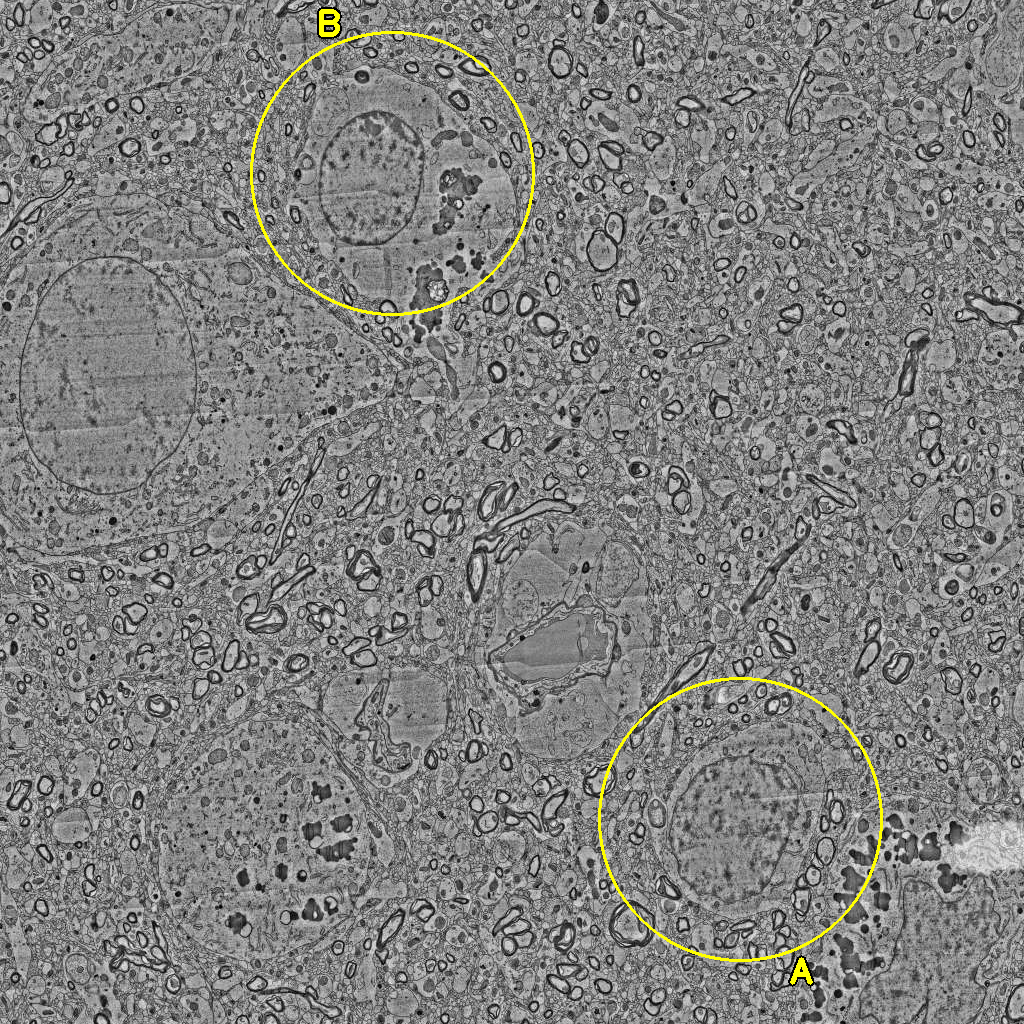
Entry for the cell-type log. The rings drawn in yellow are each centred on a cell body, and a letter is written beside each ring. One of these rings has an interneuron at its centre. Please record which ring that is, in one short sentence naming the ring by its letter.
Ring A is centred on it.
